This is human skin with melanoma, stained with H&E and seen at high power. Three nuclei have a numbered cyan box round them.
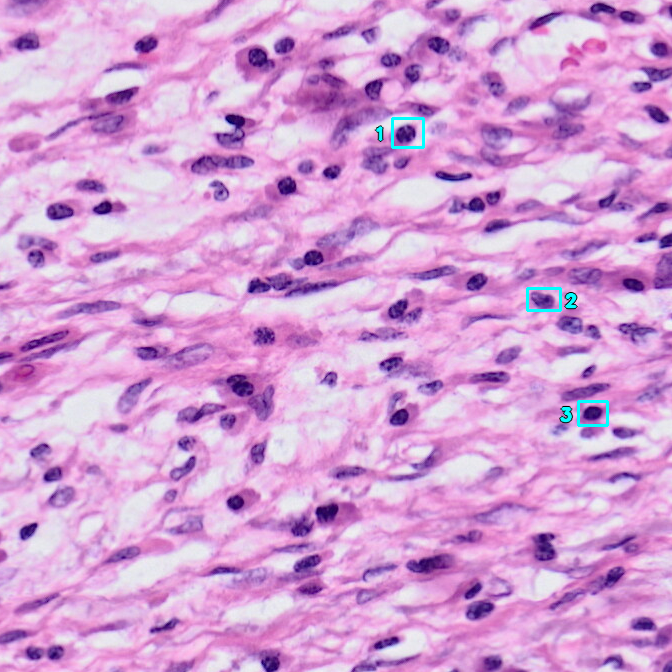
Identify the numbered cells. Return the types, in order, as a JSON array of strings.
["plasma cell", "lymphocyte", "plasma cell"]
